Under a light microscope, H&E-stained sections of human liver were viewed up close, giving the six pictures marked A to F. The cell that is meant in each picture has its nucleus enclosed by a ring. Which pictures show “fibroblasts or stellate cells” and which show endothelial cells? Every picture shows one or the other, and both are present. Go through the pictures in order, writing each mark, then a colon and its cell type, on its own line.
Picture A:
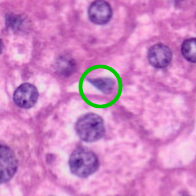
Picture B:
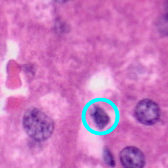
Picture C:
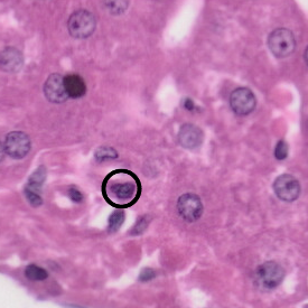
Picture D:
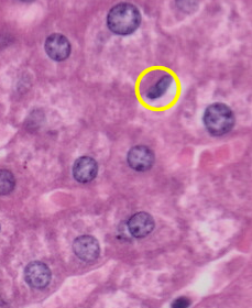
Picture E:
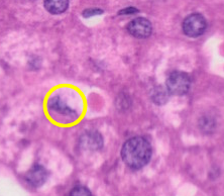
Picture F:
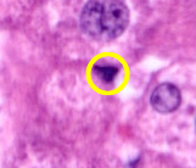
A: endothelial cell
B: endothelial cell
C: fibroblast or stellate cell
D: endothelial cell
E: endothelial cell
F: fibroblast or stellate cell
